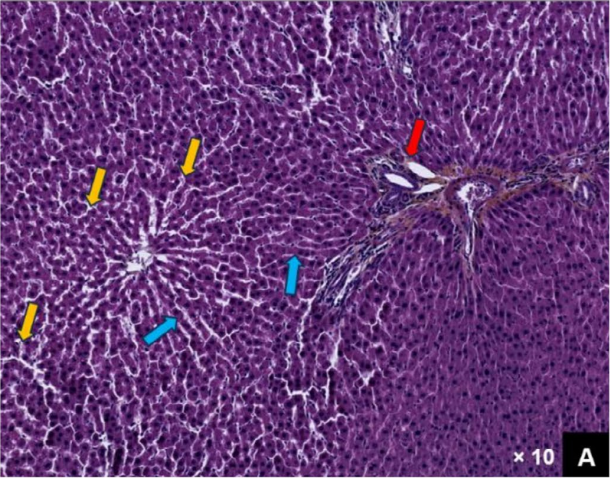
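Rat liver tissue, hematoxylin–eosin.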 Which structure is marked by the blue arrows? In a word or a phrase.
Hepatocytic trabeculae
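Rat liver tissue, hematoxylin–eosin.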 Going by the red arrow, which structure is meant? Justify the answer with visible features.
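A portal structure. Small vessel and duct lumina grouped in a strand of connective tissue. The strand lies between plates of hepatocytes.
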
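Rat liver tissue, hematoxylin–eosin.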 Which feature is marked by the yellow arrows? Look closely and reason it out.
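Clear white spaces run between the cords of hepatocytes. The spaces radiate around a central vein.
Sinusoidal dilation.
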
